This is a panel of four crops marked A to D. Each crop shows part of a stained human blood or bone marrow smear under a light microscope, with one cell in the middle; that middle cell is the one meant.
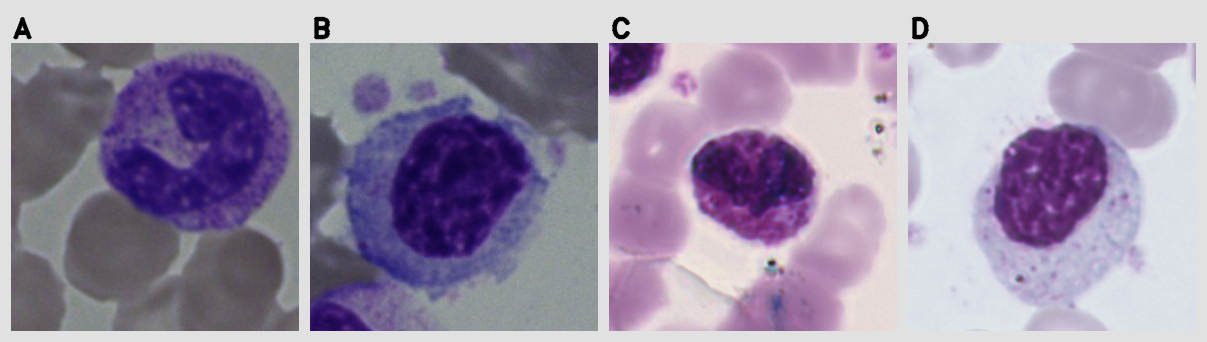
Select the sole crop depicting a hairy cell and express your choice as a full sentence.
Crop B alone, of all the crops, shows a hairy cell.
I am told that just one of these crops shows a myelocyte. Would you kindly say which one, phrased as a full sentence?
Crop D is identified as the crop showing a myelocyte.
